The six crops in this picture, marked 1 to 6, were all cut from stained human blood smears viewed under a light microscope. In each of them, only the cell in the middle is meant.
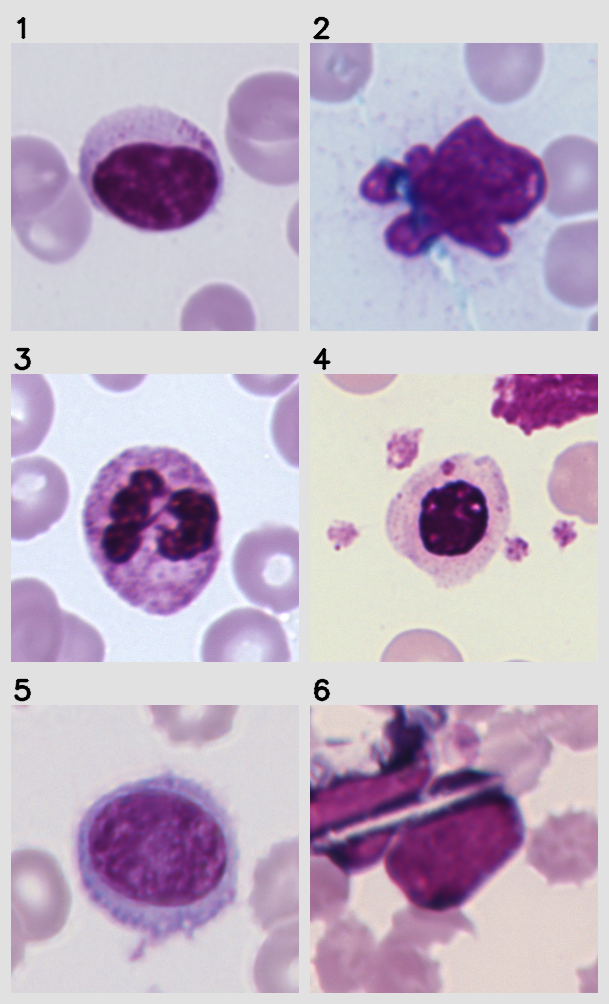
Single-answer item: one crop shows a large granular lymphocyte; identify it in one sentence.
So the crop with a large granular lymphocyte at its center is crop 1.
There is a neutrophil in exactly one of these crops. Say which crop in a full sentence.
As for which crop shows a neutrophil, it is crop 3.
